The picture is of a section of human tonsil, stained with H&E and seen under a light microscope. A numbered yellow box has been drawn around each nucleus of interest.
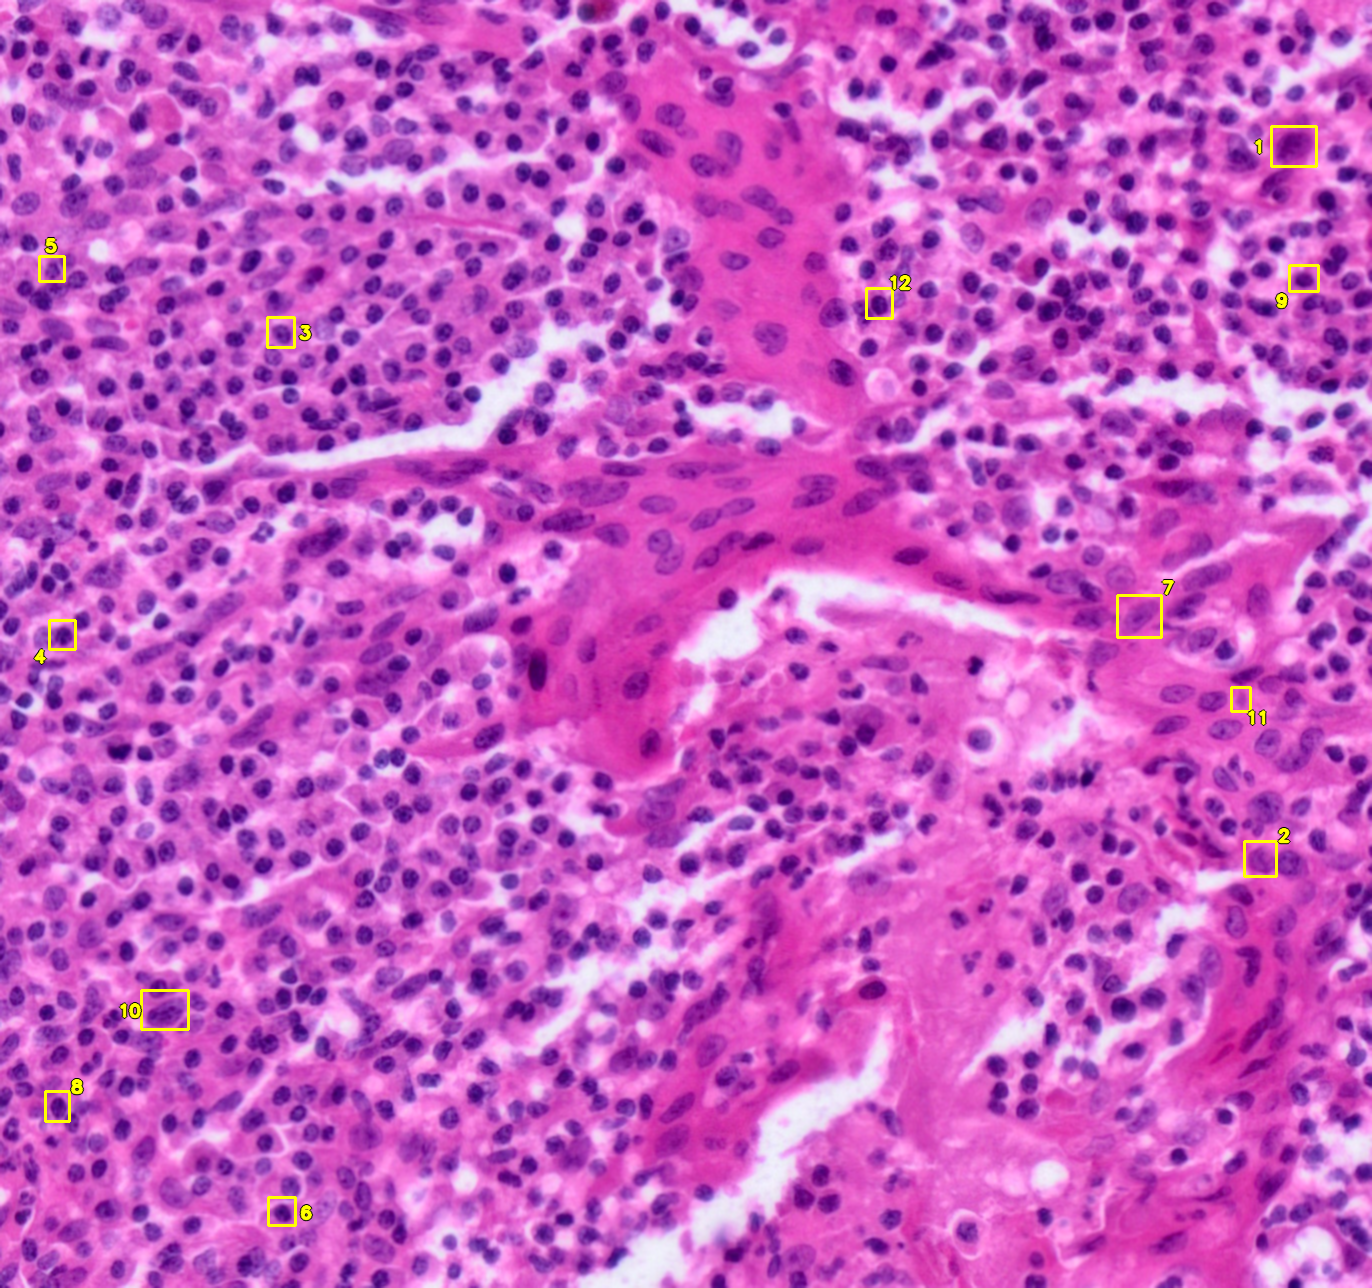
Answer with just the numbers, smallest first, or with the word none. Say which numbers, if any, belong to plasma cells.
3, 4, 5, 6, 8, 9, 12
